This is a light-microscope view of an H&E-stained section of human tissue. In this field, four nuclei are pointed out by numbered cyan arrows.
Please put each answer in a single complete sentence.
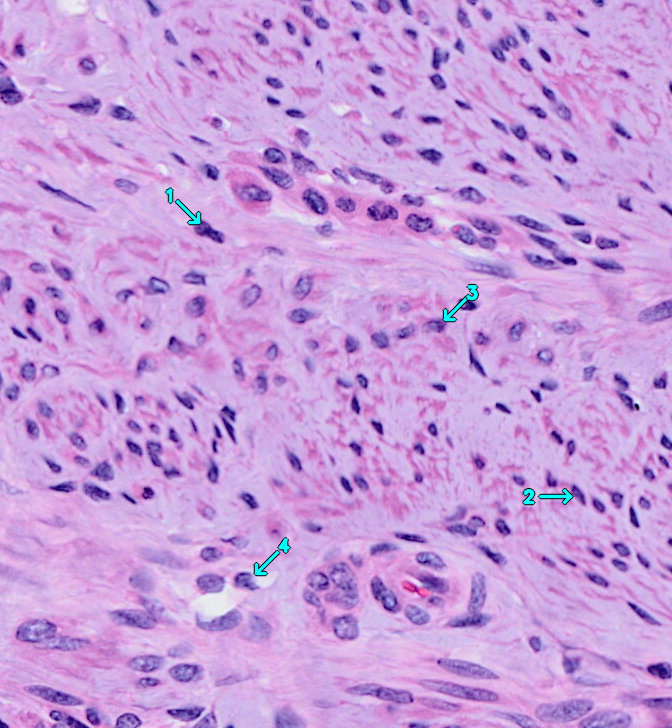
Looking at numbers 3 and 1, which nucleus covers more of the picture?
Nucleus 1 covers more area, about 2.5 times as much as nucleus 3.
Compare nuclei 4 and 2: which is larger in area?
Nucleus 4 is the larger one, covering about 2.5 times the area of nucleus 2.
